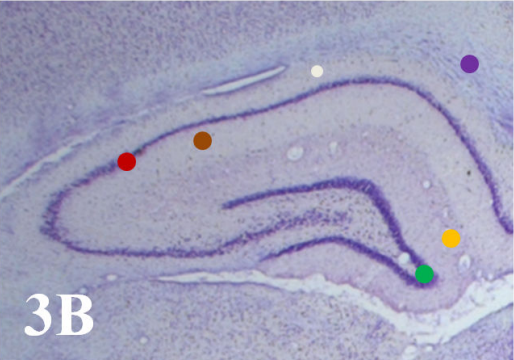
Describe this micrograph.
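This section of the hippocampus shows its cell layers as dark violet bands against a pale violet background of fibre-rich layers. Pale, sparsely celled layers lie on either side of the cell bands, with scattered small vessels. Above the hippocampus runs a band of white matter beneath the overlying cortex.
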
